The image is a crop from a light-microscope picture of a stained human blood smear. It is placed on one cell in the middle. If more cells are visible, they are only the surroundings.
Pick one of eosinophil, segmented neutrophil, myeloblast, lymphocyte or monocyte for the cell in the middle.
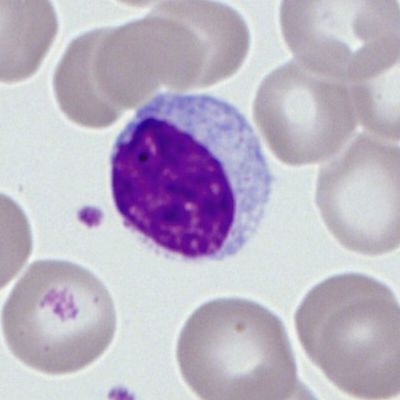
lymphocyte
